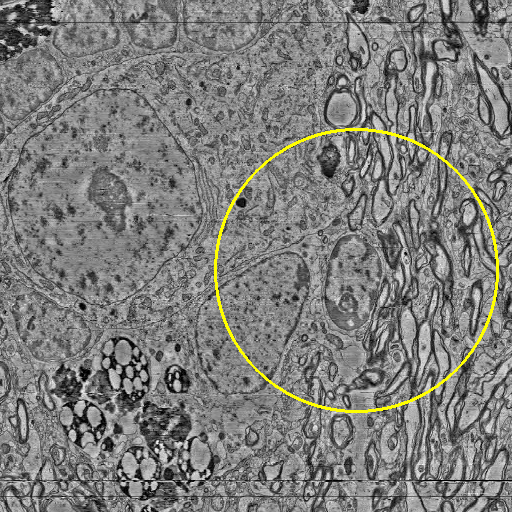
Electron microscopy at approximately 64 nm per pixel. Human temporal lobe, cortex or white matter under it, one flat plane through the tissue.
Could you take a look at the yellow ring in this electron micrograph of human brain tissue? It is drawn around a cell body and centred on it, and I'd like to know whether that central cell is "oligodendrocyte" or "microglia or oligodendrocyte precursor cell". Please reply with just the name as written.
microglia or oligodendrocyte precursor cell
